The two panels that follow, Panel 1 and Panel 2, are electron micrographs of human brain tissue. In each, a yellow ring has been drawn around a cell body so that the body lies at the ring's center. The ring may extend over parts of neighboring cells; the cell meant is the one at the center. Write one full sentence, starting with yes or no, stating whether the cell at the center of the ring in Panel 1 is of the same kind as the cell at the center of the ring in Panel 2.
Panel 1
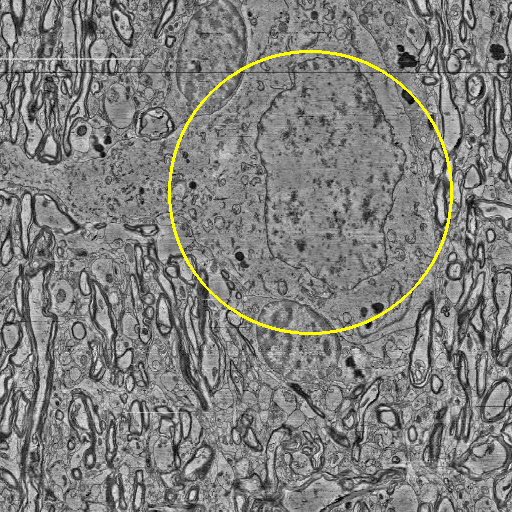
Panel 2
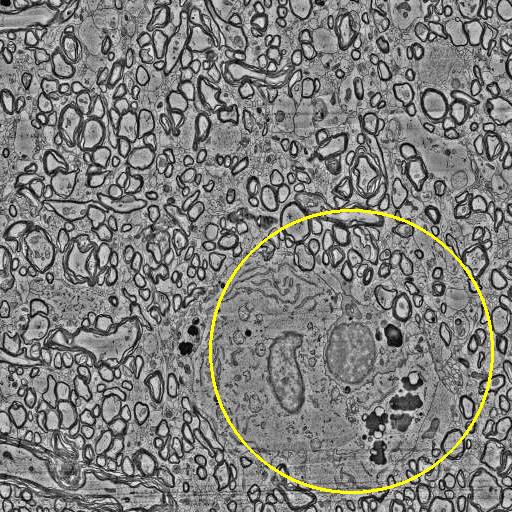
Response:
No, the cells in the two panels are of two kinds.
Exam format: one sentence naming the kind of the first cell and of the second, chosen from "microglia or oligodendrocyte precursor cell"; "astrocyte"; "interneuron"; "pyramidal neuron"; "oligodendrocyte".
The first picture's cell is a pyramidal neuron, and the second picture's cell is an oligodendrocyte.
